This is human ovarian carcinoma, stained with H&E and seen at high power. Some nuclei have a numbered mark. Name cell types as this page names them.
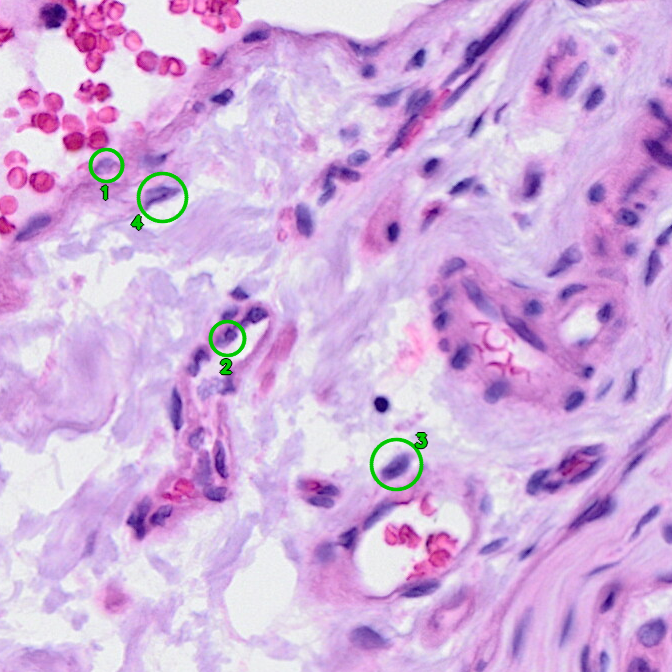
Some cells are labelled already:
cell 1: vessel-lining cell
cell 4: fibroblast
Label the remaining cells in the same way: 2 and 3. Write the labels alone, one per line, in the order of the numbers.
vessel-lining cell
fibroblast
